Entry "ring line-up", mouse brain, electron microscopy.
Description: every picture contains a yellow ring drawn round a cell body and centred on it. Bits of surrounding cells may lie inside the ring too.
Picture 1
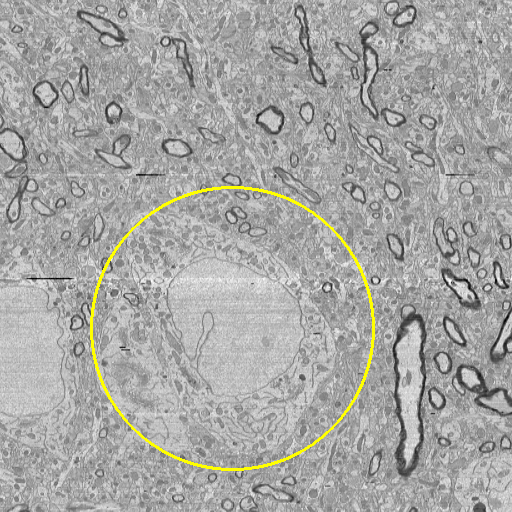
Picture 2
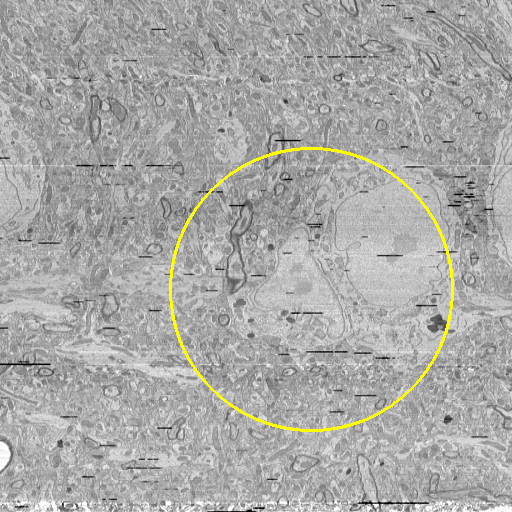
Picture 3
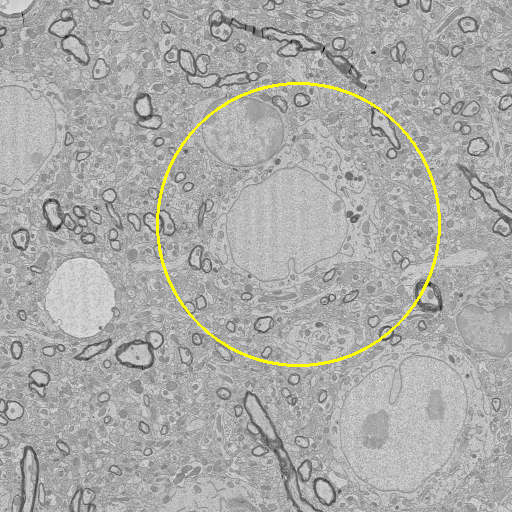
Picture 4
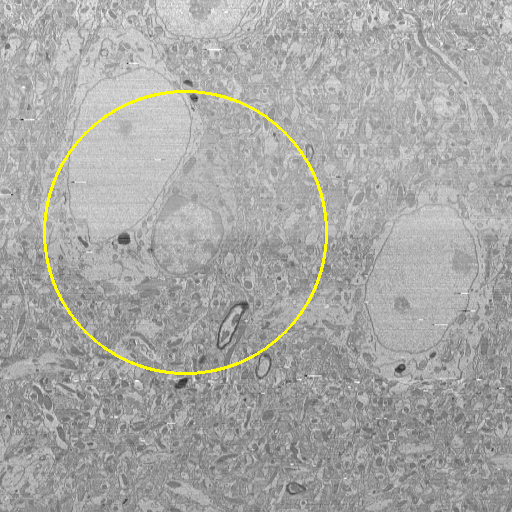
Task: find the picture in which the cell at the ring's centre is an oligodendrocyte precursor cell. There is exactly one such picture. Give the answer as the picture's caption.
Picture 2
